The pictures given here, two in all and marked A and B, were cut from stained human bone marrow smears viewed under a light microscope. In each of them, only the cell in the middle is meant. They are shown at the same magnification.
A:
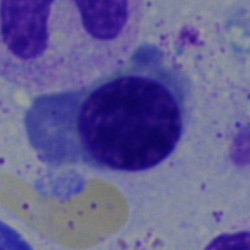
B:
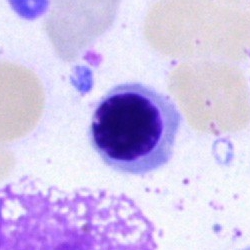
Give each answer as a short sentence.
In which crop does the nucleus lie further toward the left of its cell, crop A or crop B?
The nucleus in crop B lies further toward the left of its cell.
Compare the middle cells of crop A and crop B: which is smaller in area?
Smaller is the cell in crop B, and the other is about 2.5 times as large in area.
